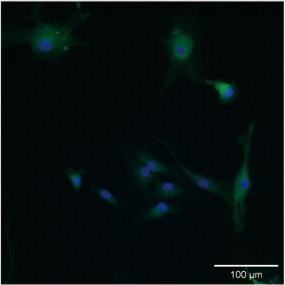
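Sparse, flattened cultured cells with spindle or branched outlines extend thin processes across a dark background. Each cell has one oval blue nucleus.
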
